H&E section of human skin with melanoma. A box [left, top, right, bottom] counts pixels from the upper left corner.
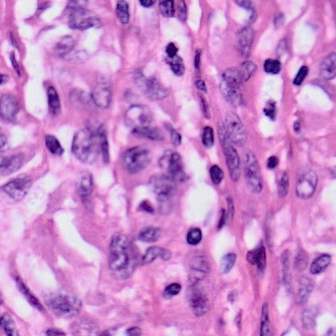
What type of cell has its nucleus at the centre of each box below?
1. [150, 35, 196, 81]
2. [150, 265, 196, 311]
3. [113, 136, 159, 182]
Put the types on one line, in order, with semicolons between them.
lymphocyte; lymphocyte; melanoma cell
